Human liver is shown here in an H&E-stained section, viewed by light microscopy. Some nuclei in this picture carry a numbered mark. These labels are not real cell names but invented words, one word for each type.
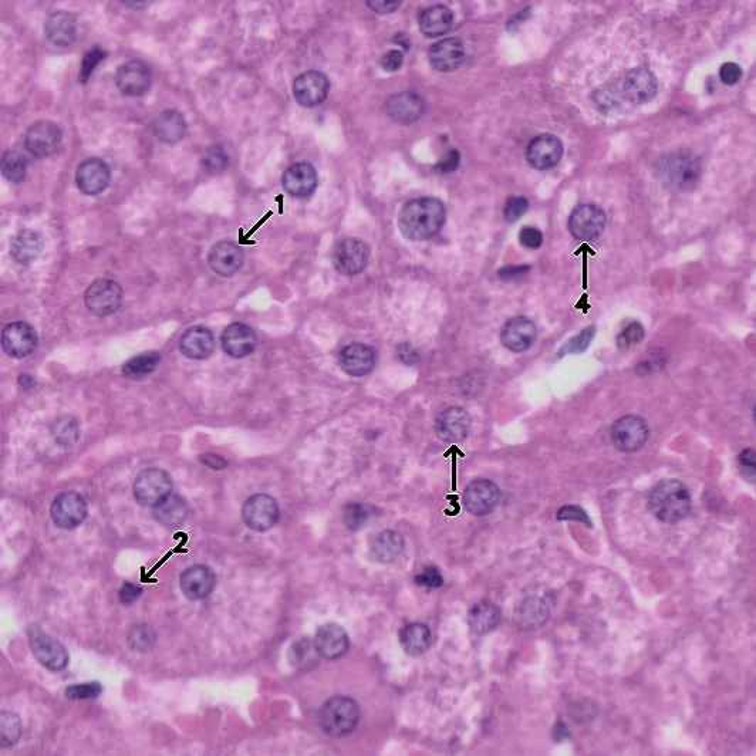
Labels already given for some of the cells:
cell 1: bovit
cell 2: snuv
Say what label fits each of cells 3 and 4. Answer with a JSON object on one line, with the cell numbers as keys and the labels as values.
{"3": "bovit", "4": "bovit"}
